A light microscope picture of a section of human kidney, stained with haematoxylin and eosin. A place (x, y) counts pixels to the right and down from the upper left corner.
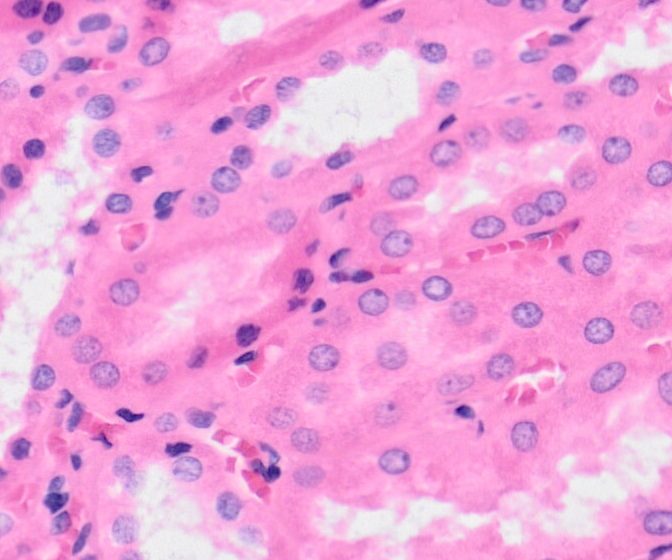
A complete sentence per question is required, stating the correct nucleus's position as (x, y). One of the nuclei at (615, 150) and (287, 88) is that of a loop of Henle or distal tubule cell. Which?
As for which of the two, the nucleus at (287, 88) belongs to a loop of Henle or distal tubule cell.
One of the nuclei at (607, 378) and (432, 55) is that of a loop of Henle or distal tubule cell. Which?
The nucleus whose cell is a loop of Henle or distal tubule cell is the one at (432, 55).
